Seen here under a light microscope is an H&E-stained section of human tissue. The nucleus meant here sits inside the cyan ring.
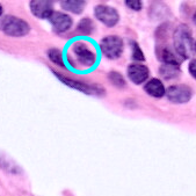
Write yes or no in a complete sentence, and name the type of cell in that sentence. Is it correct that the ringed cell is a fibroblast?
No, instead of a fibroblast, the ringed cell is a lymphocyte.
